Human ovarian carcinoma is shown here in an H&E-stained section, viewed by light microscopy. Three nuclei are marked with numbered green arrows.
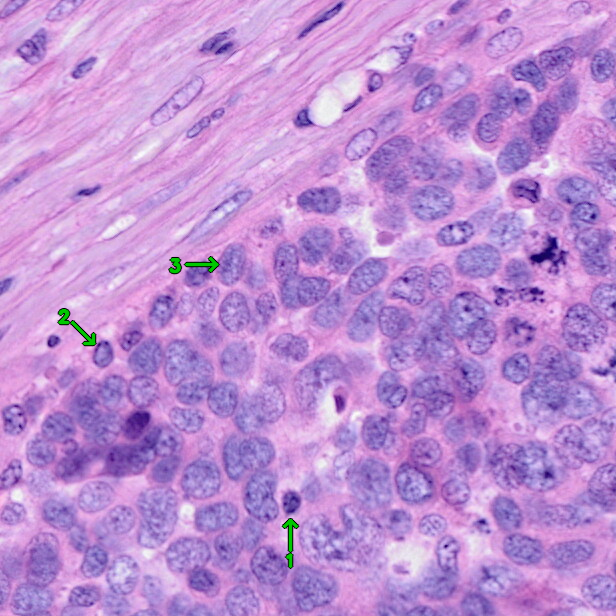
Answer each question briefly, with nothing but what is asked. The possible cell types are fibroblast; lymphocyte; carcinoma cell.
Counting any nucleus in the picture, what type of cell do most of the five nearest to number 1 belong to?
carcinoma cell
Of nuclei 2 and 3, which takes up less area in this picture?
2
